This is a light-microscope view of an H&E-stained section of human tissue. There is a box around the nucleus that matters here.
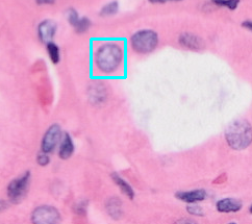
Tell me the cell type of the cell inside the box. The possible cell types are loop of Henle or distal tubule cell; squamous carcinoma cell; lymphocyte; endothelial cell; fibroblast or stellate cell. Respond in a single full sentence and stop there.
Right, so the cell inside the box is a loop of Henle or distal tubule cell, to answer that.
